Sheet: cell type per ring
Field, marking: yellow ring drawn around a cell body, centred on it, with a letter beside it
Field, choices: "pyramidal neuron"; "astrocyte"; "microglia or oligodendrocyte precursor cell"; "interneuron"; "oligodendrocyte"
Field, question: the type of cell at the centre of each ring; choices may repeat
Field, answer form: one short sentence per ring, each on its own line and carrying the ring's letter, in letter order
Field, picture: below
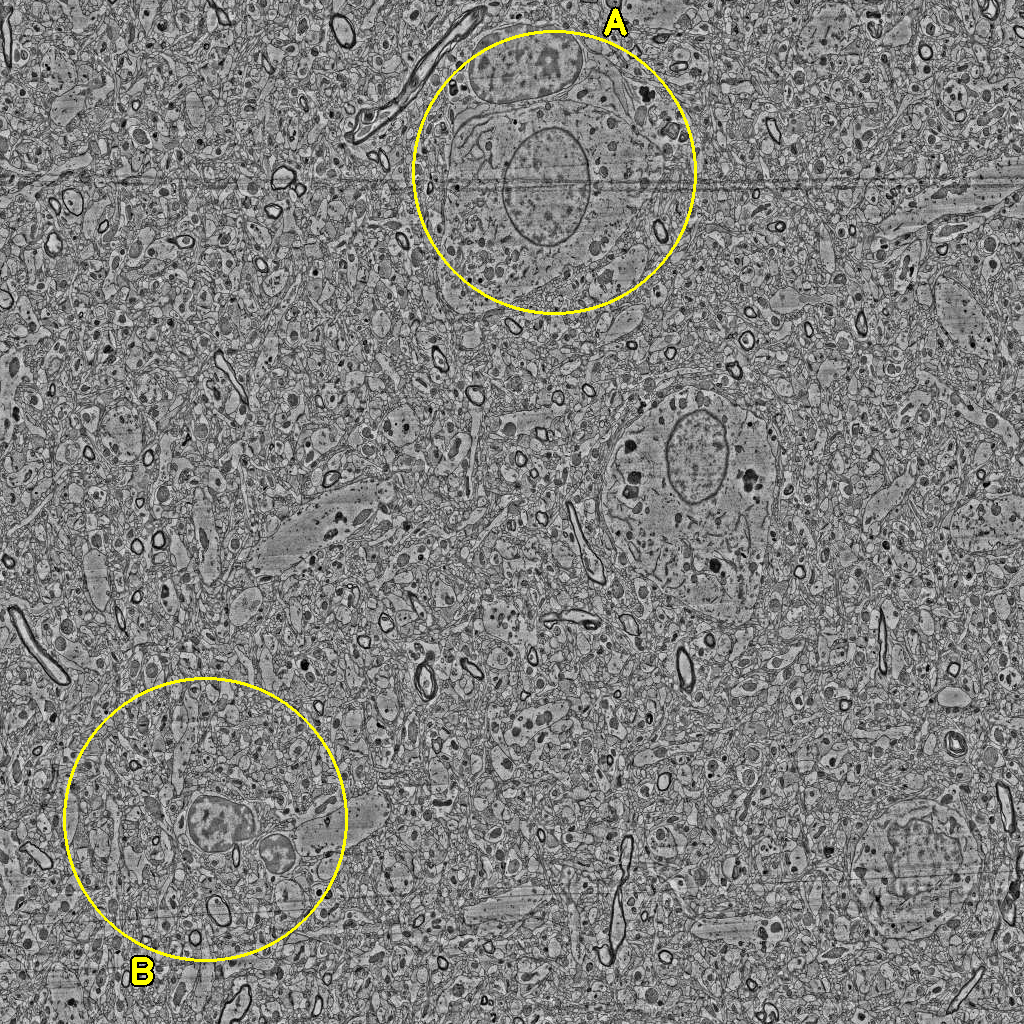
The cell body inside ring A, at its centre, is a pyramidal neuron.
The cell body inside ring B, at its centre, is a microglial cell or oligodendrocyte precursor cell.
